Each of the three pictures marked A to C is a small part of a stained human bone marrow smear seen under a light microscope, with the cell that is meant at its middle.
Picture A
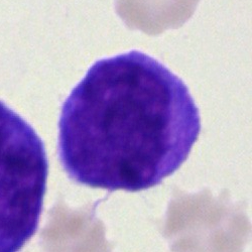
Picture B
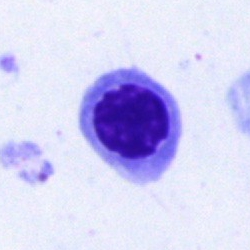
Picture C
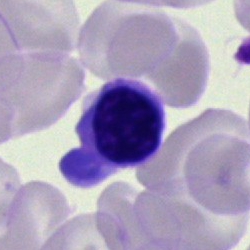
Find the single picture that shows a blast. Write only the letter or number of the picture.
A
